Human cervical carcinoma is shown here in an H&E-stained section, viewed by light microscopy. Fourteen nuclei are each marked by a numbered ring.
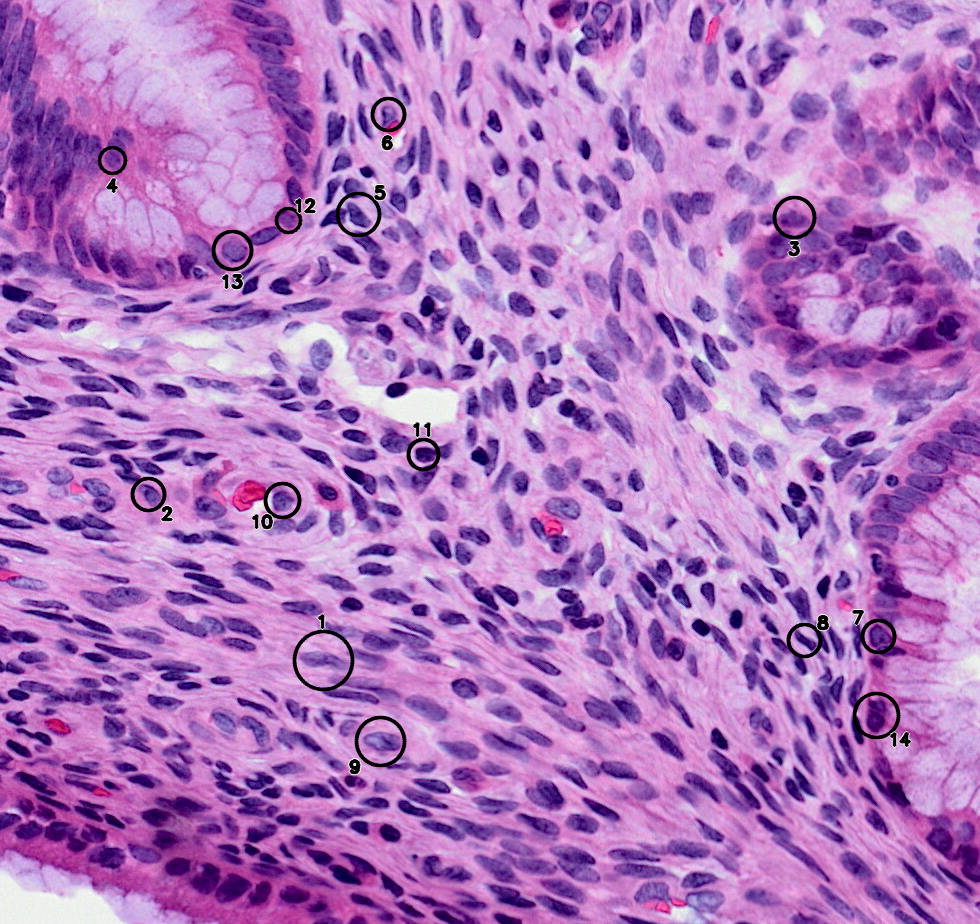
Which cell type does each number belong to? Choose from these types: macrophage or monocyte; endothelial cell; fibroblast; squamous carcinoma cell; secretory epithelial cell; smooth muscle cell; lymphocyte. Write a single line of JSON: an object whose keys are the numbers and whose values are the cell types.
{"1": "fibroblast", "2": "endothelial cell", "3": "secretory epithelial cell", "4": "secretory epithelial cell", "5": "fibroblast", "6": "endothelial cell", "7": "secretory epithelial cell", "8": "fibroblast", "9": "endothelial cell", "10": "endothelial cell", "11": "lymphocyte", "12": "secretory epithelial cell", "13": "secretory epithelial cell", "14": "secretory epithelial cell"}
